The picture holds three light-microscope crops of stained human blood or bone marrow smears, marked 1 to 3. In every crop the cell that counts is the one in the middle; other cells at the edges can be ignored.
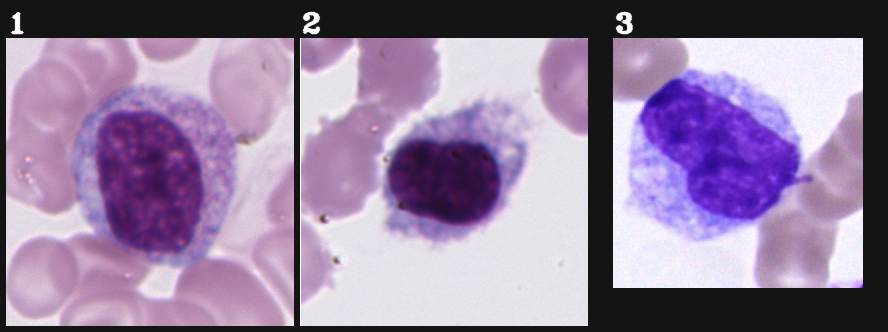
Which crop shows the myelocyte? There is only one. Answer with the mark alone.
1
